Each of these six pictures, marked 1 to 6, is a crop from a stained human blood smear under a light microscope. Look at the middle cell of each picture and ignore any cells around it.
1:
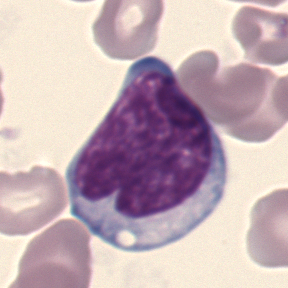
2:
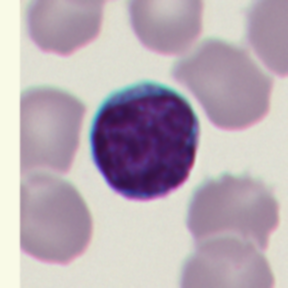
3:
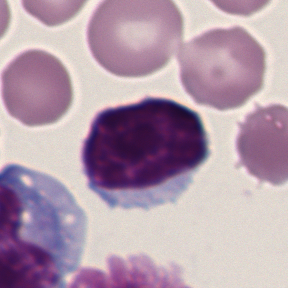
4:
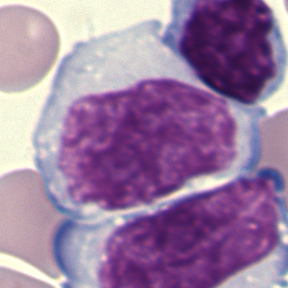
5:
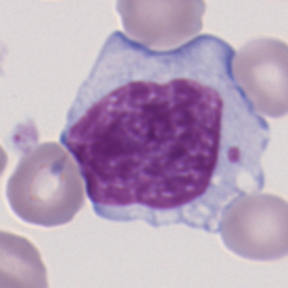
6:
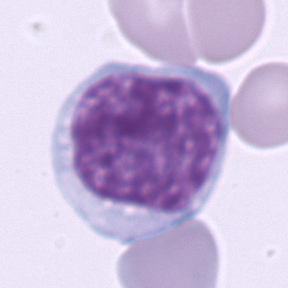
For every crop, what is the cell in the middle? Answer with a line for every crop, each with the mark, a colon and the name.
1: myeloblast
2: typical lymphocyte
3: typical lymphocyte
4: myeloblast
5: myeloblast
6: myeloblast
